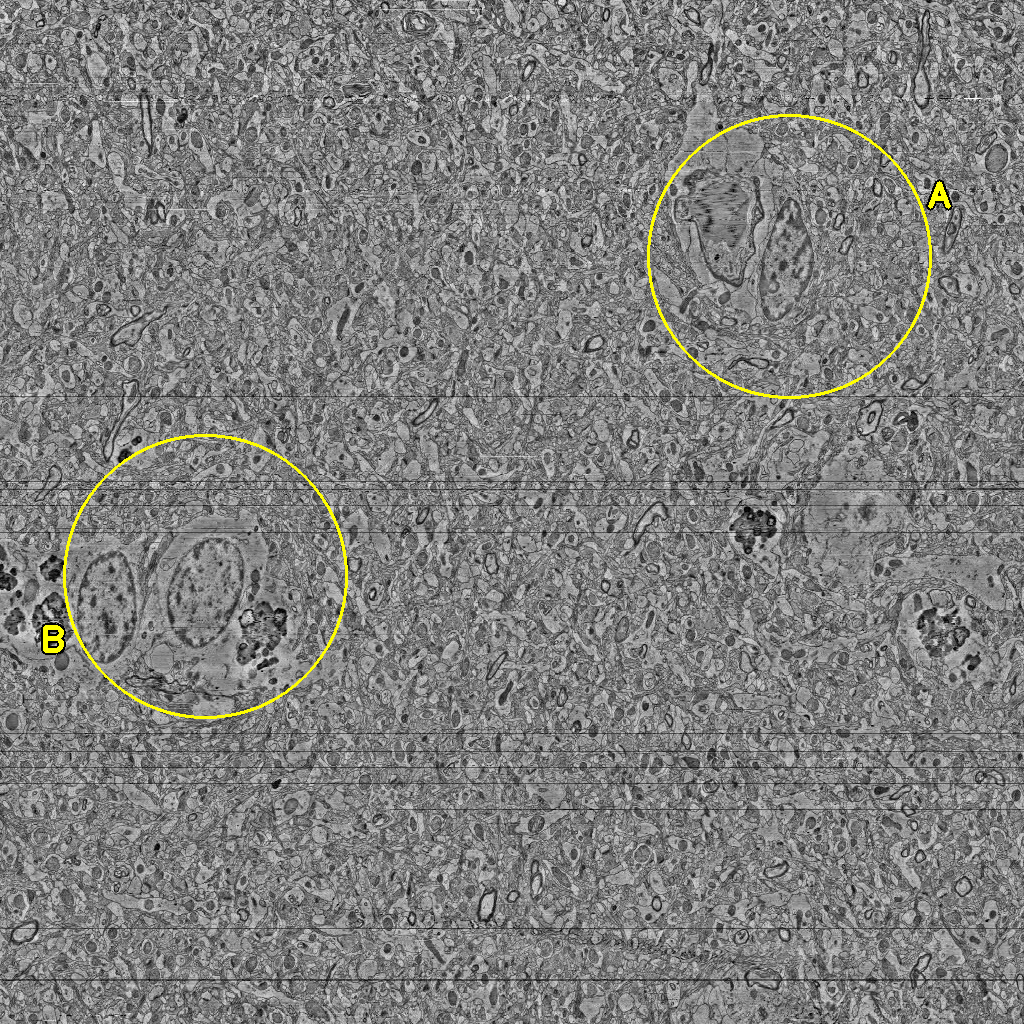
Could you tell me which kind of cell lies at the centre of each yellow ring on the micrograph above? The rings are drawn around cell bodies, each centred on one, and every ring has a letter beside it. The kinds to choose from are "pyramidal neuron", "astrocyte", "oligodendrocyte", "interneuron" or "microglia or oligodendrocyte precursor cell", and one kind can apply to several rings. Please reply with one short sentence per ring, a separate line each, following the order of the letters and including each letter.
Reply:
Ring A circles a microglial cell or oligodendrocyte precursor cell.
Ring B circles an astrocyte.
